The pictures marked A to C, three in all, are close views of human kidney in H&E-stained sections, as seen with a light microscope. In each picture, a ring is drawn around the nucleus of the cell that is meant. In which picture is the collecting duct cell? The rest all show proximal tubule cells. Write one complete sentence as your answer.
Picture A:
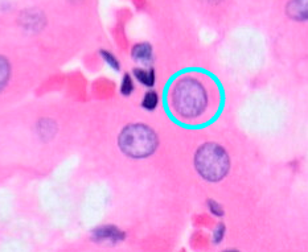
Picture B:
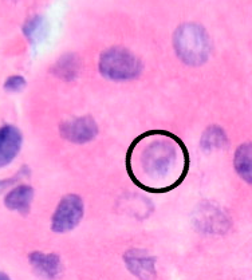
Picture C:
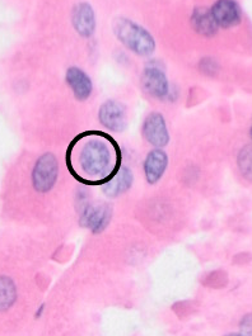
The cell in picture C is the collecting duct cell.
